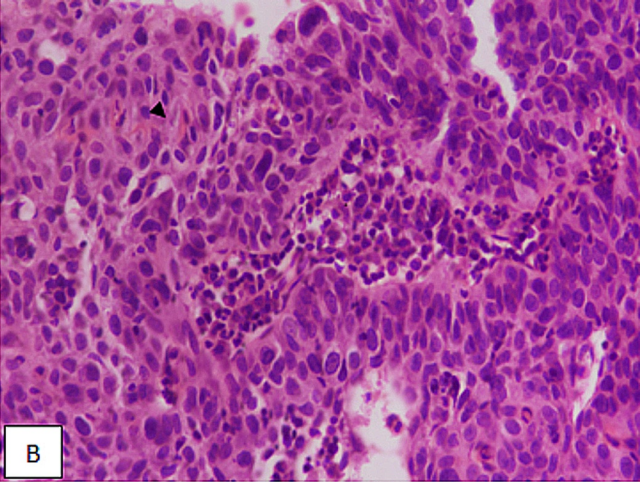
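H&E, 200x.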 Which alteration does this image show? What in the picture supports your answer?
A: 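Loss of polarity. Nuclei point in random directions with no orderly layering. Cells are crowded and disorganized.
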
